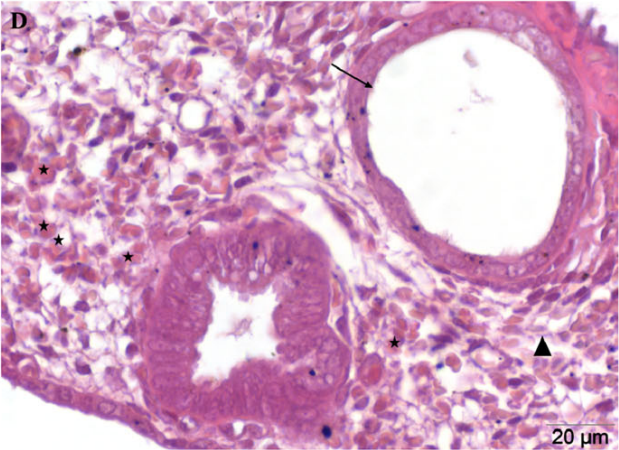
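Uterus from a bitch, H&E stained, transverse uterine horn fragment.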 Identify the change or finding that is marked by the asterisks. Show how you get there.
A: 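Many red blood cells lie scattered in the stroma around the asterisks. The red blood cells are outside any vessel. On this evidence: endometrial haemorrhage.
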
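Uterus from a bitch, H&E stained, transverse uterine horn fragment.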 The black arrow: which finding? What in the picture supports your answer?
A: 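Flattening of the glandular epithelial cells. The arrow points to the epithelium lining a round, widened lumen. This lining is lower than the tall epithelium of the neighbouring folded gland.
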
